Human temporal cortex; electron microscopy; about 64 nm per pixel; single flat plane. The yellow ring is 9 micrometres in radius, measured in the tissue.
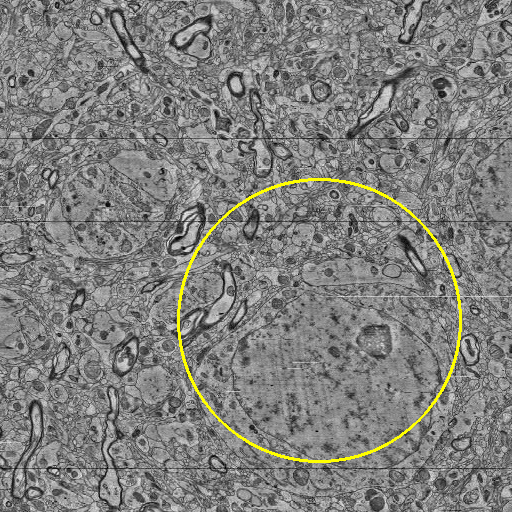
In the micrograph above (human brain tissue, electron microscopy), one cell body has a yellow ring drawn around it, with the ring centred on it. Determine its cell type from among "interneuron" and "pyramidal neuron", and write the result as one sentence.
The cell whose body is ringed is a pyramidal neuron.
